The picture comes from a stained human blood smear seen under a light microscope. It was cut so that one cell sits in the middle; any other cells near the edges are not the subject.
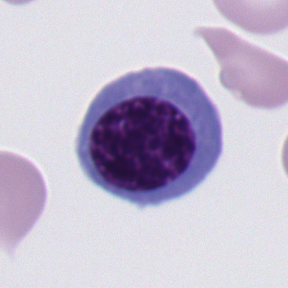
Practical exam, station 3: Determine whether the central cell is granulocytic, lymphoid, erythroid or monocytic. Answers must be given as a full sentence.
The cell found in the center of the crop is of the erythroid lineage.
